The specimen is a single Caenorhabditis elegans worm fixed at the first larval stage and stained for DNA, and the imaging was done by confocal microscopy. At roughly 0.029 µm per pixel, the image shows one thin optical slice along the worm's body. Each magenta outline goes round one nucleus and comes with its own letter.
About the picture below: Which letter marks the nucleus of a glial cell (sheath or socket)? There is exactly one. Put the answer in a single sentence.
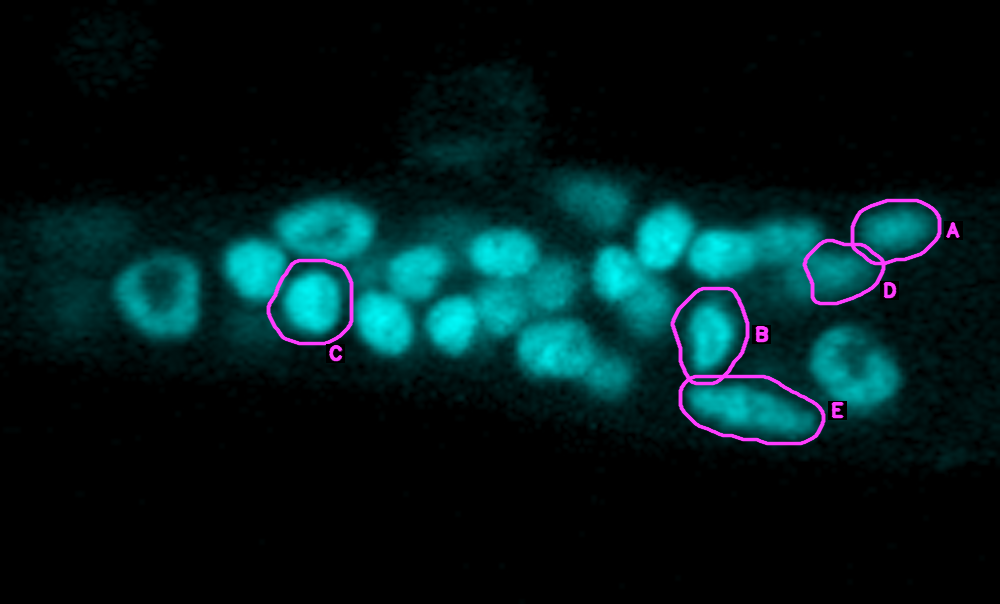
C is from a glial cell (sheath or socket).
